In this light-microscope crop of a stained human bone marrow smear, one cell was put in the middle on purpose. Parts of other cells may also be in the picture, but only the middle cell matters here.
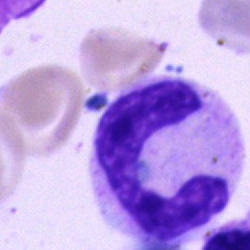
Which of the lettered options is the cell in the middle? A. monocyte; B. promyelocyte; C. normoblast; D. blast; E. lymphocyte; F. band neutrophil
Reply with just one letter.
F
